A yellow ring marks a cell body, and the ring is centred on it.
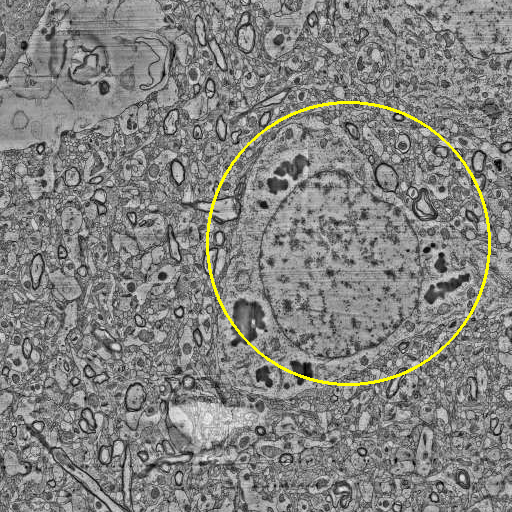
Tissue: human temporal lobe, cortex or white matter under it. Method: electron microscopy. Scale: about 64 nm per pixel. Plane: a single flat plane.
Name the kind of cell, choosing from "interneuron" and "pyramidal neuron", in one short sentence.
The marked cell body belongs to an interneuron.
